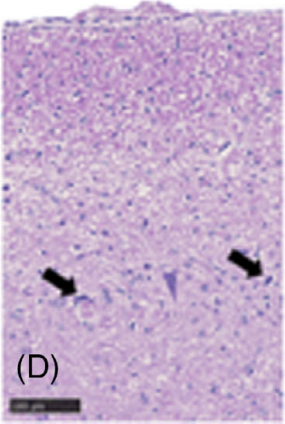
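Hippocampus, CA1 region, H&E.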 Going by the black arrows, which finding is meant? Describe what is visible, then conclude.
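Neuronal degeneration. Few normal-looking large neurons are present in the field.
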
